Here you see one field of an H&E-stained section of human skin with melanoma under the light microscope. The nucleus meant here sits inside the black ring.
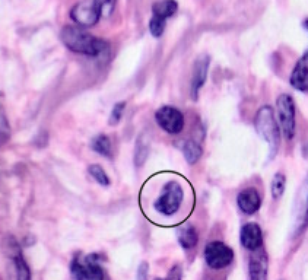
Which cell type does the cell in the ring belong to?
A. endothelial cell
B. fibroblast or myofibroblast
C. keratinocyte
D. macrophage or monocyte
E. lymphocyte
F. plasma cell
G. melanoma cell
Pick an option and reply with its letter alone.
E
